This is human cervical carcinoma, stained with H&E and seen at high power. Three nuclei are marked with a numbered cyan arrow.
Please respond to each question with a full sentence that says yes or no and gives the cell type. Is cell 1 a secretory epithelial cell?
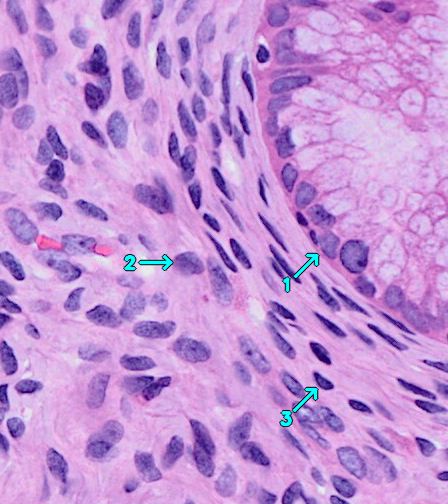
Yes, it is a secretory epithelial cell that carries the number 1.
